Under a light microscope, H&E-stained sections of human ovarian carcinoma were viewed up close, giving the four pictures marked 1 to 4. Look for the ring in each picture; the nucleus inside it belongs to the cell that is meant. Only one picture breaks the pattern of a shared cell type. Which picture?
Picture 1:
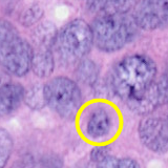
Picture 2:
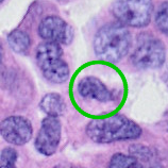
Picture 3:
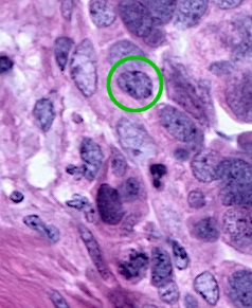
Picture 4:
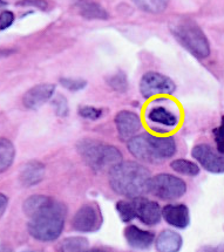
4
